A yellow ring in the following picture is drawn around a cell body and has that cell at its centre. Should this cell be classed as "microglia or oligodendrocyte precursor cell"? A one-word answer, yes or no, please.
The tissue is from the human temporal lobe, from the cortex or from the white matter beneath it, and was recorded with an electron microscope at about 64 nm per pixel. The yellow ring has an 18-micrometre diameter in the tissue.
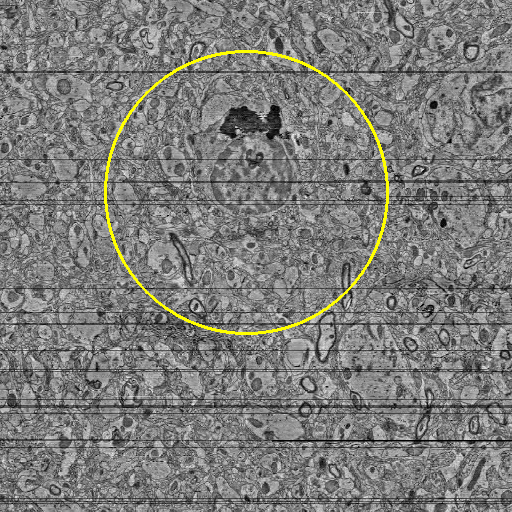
No, it is of another kind.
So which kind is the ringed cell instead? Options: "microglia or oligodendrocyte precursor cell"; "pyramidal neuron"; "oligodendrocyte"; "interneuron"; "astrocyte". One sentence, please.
What the ring is centred on is an oligodendrocyte.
